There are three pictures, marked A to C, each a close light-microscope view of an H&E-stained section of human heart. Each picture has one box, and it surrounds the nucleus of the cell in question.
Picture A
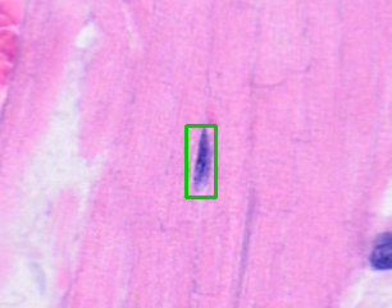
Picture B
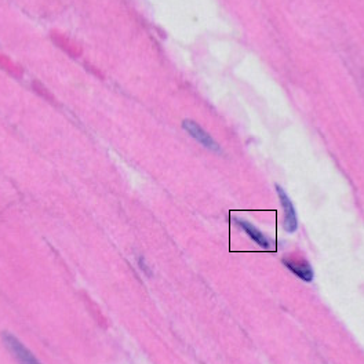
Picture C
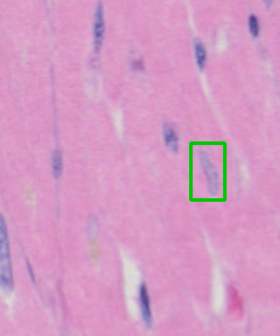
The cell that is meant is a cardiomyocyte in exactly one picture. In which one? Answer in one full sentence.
The cell in picture C is the cardiomyocyte.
